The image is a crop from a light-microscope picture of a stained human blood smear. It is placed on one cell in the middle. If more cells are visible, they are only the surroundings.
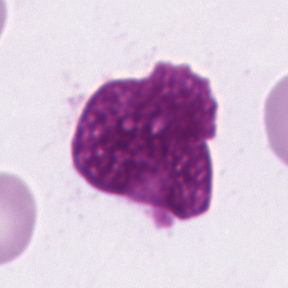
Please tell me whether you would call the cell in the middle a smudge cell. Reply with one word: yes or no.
yes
